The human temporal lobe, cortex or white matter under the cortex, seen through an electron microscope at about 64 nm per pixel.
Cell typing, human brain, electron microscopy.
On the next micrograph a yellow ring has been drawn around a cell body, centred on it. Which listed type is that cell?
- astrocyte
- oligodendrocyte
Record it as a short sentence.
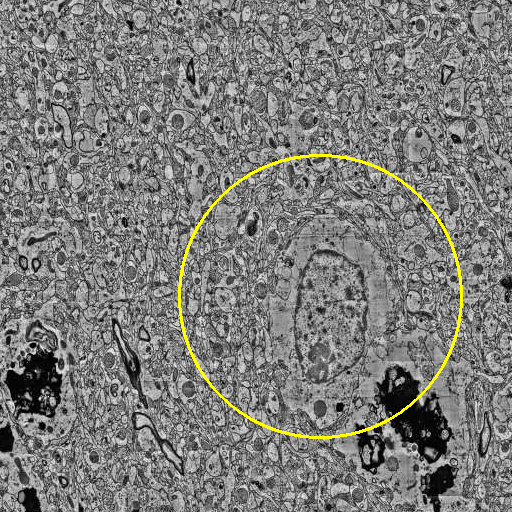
The cell body in the ring's centre belongs to an astrocyte.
